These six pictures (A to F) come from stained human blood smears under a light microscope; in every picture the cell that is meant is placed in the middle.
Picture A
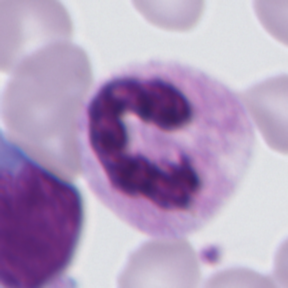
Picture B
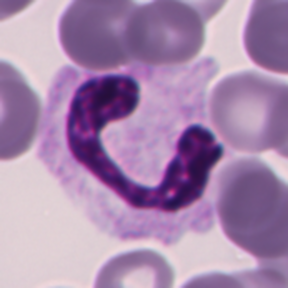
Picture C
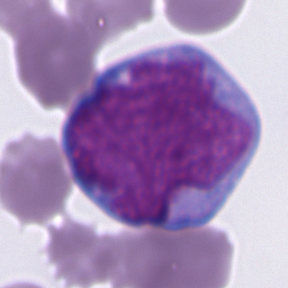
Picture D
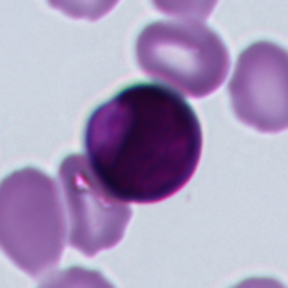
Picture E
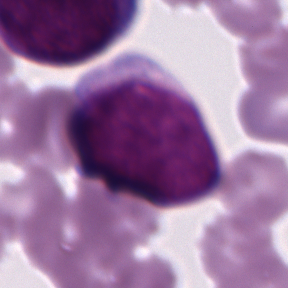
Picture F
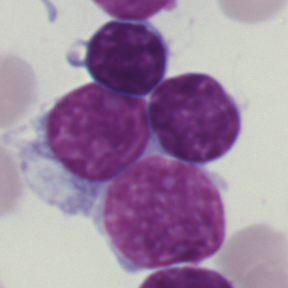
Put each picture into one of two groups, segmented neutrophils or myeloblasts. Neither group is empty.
A: segmented neutrophil
B: segmented neutrophil
C: myeloblast
D: myeloblast
E: myeloblast
F: myeloblast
